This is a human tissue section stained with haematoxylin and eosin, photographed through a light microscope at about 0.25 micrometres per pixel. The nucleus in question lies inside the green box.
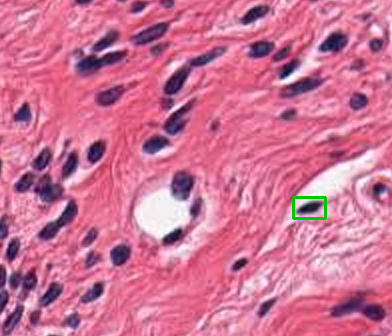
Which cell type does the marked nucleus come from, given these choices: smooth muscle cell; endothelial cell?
endothelial cell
